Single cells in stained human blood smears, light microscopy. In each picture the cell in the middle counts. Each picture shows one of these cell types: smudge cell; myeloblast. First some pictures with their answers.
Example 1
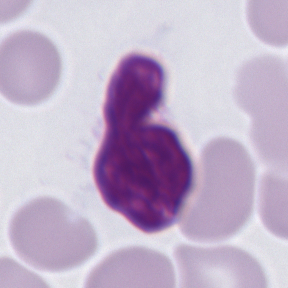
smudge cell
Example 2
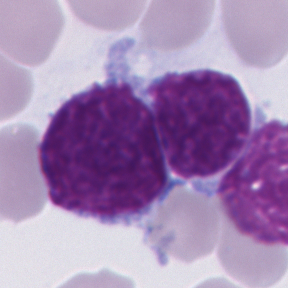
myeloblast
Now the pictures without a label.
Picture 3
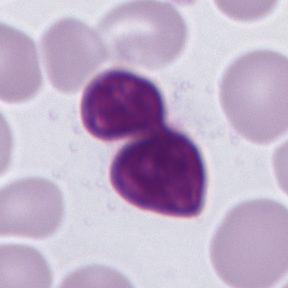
smudge cell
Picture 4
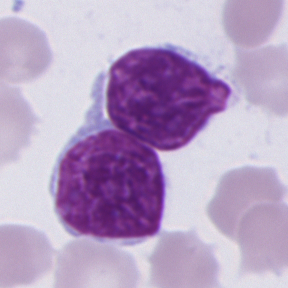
myeloblast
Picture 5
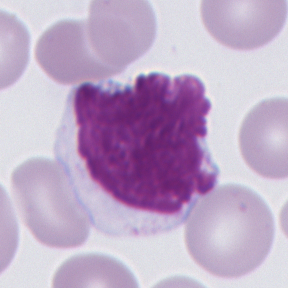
smudge cell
